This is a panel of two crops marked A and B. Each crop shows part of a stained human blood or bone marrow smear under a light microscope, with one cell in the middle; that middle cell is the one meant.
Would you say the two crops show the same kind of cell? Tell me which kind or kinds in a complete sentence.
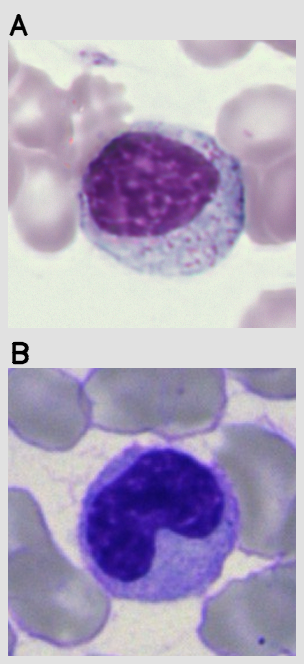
Yes, what both crops show at their centres are metamyelocytes.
